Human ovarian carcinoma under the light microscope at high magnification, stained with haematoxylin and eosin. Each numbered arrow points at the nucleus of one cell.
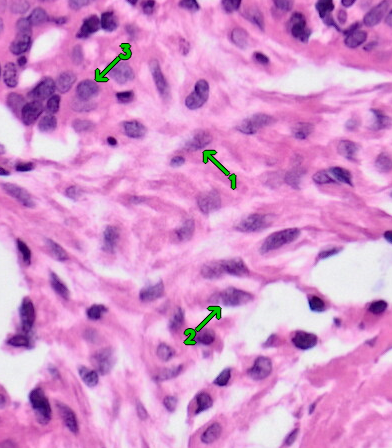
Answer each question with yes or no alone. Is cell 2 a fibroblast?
yes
